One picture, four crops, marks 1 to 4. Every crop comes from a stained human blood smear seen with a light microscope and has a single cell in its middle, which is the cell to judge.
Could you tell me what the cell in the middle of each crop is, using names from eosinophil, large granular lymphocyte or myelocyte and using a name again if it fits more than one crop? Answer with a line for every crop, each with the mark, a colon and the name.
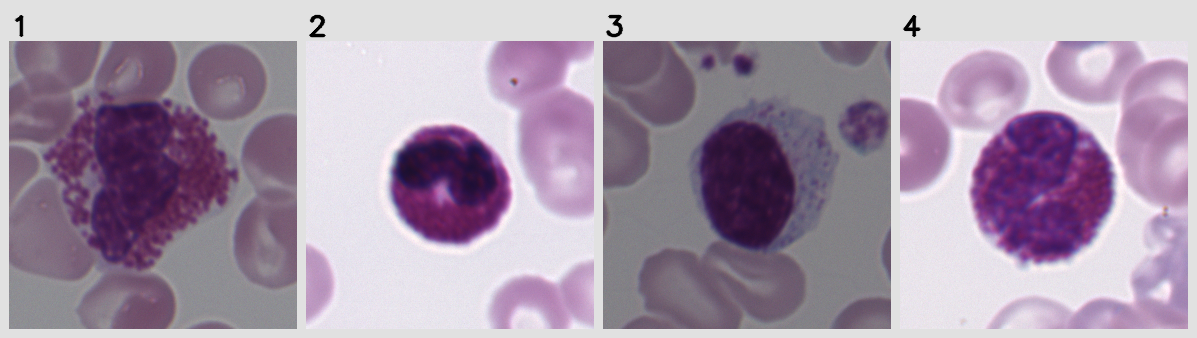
1: eosinophil
2: eosinophil
3: large granular lymphocyte
4: eosinophil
